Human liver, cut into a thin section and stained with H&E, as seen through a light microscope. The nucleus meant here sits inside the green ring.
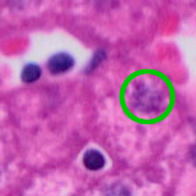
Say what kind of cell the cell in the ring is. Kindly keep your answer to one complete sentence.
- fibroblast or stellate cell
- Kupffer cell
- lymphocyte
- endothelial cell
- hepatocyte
Considered by cell type, the cell in the ring is a hepatocyte.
